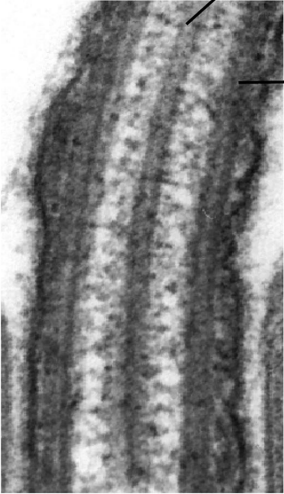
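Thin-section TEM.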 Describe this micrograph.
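This longitudinal section through a ciliary axoneme shows long, parallel, electron-dense doublet microtubules running the length of the field. Between them lies the central apparatus. Small projections repeat at regular intervals along both the central apparatus and the doublets.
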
